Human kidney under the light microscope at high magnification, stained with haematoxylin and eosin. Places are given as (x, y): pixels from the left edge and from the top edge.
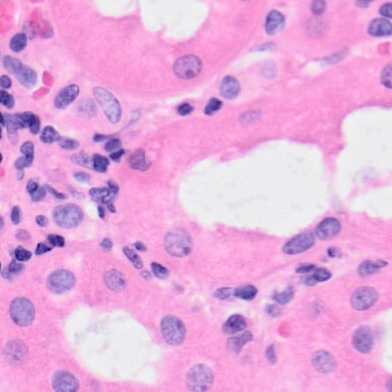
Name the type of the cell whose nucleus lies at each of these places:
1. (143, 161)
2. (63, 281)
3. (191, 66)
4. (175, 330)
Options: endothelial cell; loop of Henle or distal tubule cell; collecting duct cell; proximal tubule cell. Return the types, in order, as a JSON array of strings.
["proximal tubule cell", "loop of Henle or distal tubule cell", "proximal tubule cell", "loop of Henle or distal tubule cell"]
